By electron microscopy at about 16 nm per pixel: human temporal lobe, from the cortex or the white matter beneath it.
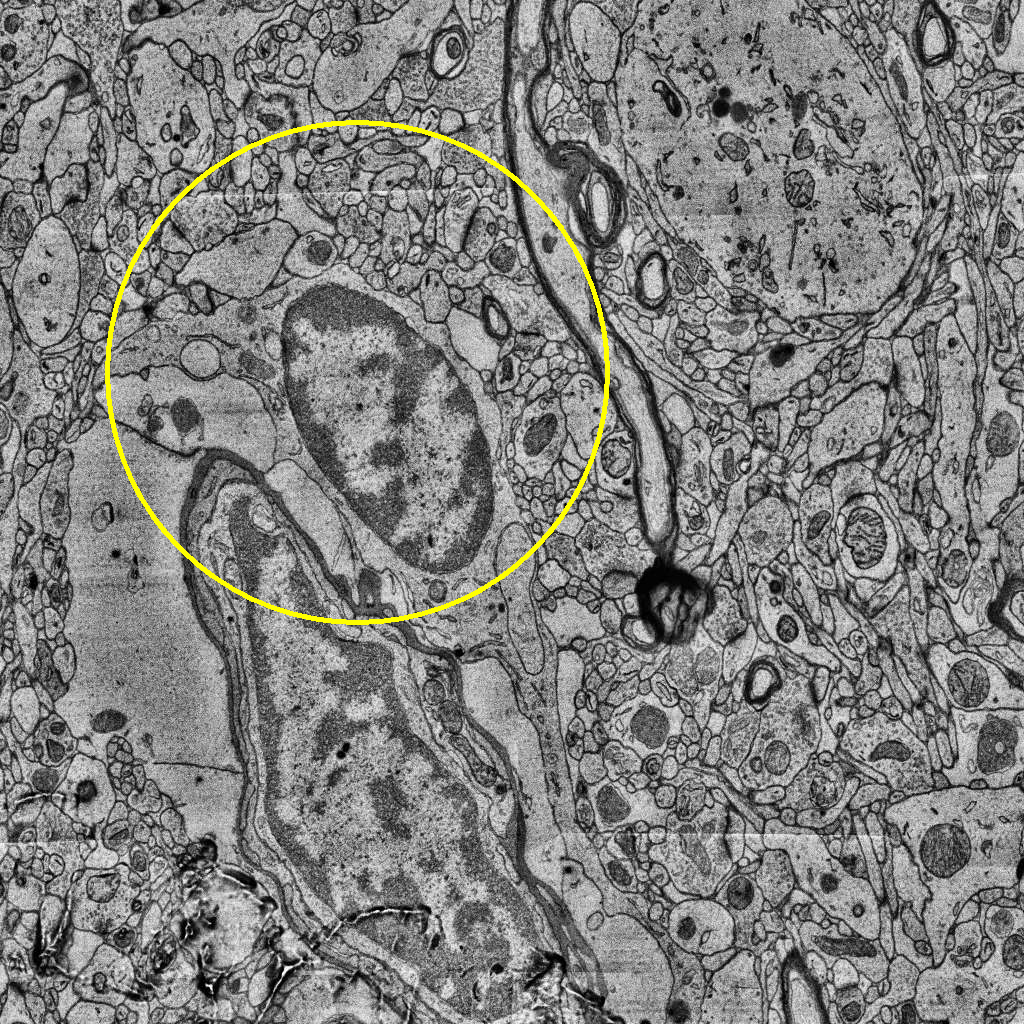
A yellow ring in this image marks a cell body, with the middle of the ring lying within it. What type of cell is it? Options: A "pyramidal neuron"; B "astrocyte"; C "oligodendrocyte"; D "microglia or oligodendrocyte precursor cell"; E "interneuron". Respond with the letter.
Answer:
D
